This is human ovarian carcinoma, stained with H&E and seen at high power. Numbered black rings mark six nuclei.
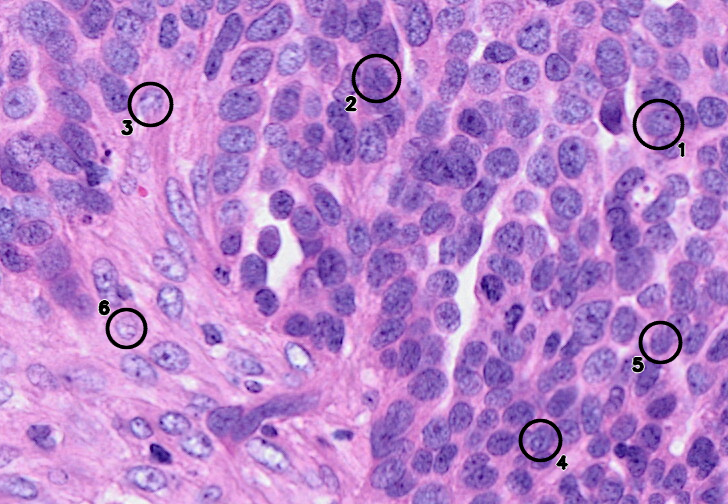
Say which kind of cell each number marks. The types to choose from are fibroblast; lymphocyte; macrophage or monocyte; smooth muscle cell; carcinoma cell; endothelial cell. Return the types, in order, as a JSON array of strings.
["carcinoma cell", "carcinoma cell", "fibroblast", "carcinoma cell", "carcinoma cell", "fibroblast"]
